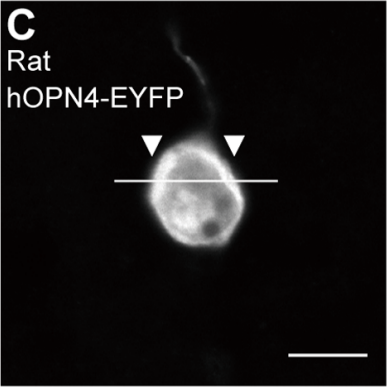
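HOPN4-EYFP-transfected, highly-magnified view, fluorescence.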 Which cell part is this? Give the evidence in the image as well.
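A single rounded, oval profile fills the centre. One thin process leaves it at the top.
Cell body.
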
